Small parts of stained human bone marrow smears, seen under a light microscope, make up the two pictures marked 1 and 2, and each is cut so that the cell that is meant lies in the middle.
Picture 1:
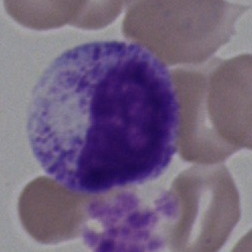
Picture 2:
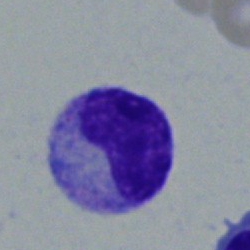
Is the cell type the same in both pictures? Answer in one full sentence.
Yes, they are the same type: both are metamyelocytes.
